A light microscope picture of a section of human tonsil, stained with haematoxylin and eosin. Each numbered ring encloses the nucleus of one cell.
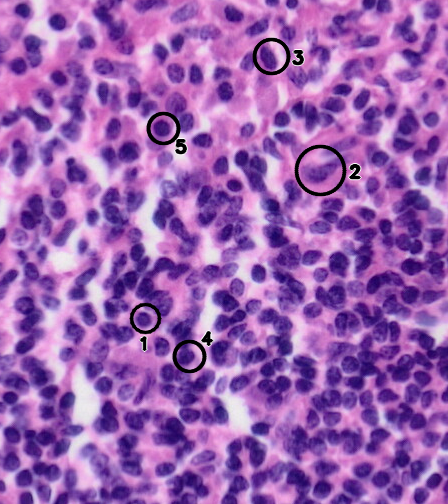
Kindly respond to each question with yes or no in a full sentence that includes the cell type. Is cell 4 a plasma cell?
No, not a plasma cell: the cell with number 4 is a small lymphocyte.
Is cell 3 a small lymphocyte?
No, cell 3 is identified not as a small lymphocyte but as a plasma cell.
